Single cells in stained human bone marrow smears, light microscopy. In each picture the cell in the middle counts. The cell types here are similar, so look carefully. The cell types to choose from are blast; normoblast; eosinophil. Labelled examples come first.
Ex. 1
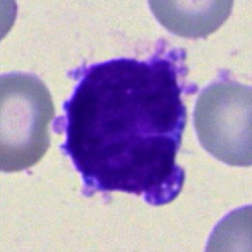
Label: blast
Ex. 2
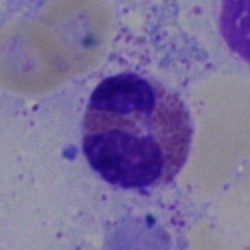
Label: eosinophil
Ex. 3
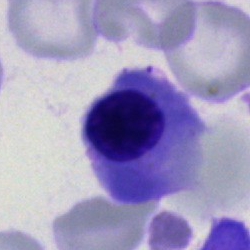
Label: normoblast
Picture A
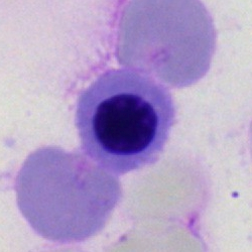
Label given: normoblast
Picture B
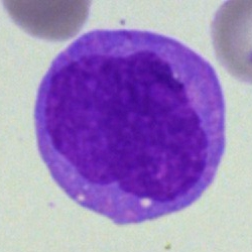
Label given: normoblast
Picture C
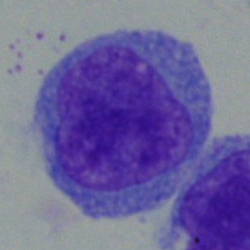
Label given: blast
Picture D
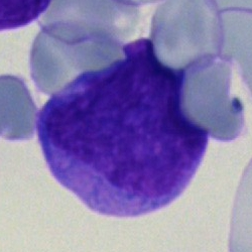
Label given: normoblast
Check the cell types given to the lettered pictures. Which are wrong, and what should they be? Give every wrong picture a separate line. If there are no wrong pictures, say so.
Wrong: B (normoblast); correct: blast
Wrong: D (normoblast); correct: blast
